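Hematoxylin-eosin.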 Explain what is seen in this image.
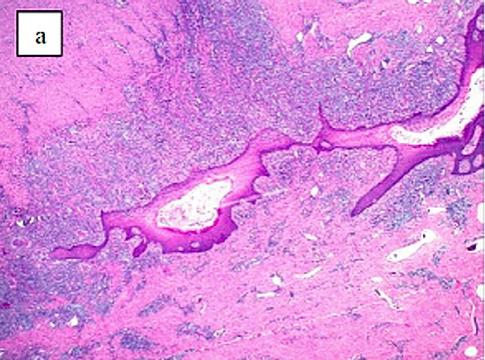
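Low-power view of skin dermis traversed by a sinus tract surrounded by a heavy inflammatory infiltrate. The tract is a long, narrow, branching channel lined by a thin band of pink-staining squamous epithelium, with a dilated lumen holding pale, loose material. Around it, dense blue-purple sheets of small inflammatory cells spread through the dermis and replace large parts of the pink collagen. Scattered small vascular spaces are present in the surrounding stroma. At this magnification individual cells cannot be distinguished; only the architecture of the epithelial tract and the distribution of the infiltrate are evident.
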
